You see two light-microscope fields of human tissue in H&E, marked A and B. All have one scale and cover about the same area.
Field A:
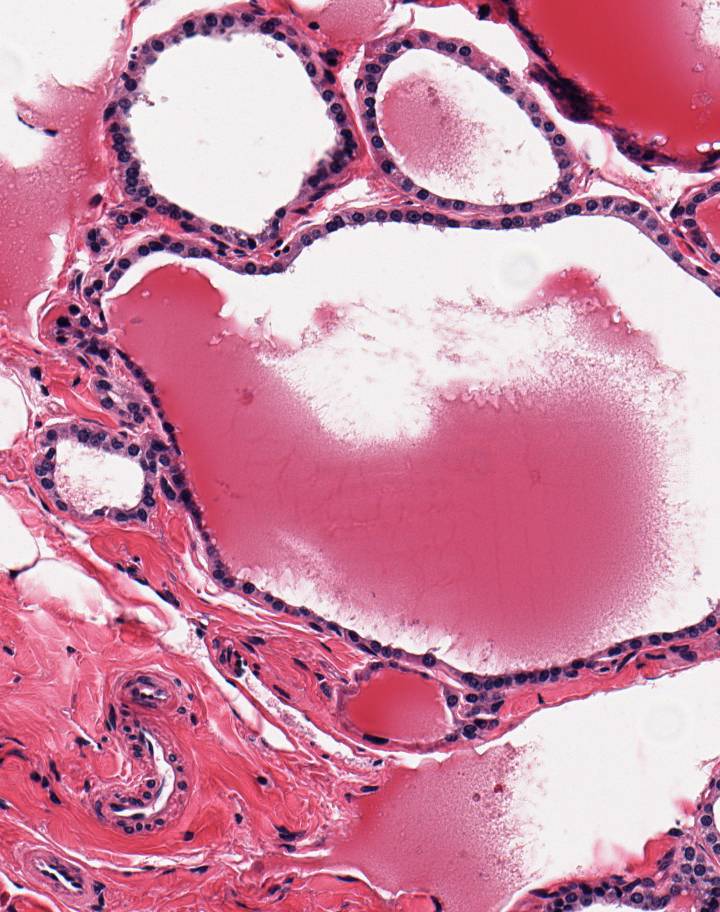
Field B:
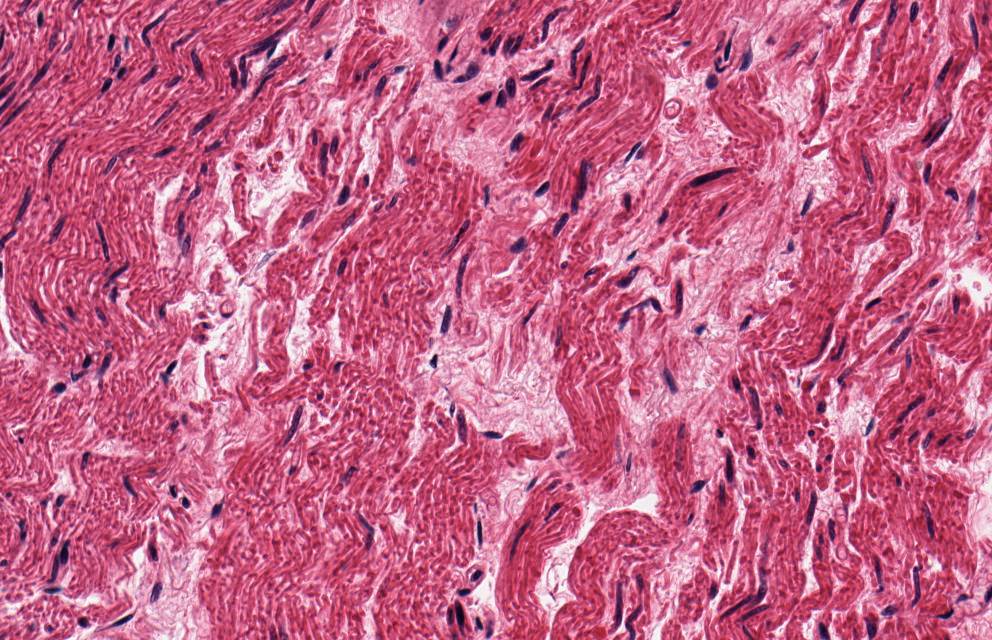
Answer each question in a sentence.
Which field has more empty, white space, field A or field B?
More of field A is empty and white.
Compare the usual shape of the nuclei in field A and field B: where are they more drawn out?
Longer, more slender nuclei lie in field B.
